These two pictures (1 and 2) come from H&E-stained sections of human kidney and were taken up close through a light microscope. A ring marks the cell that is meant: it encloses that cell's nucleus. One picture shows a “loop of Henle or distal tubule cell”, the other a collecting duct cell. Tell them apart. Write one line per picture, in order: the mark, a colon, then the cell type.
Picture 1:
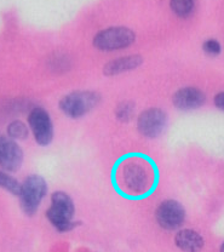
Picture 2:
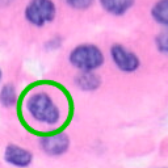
1: loop of Henle or distal tubule cell
2: collecting duct cell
